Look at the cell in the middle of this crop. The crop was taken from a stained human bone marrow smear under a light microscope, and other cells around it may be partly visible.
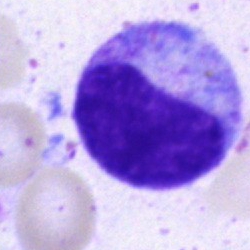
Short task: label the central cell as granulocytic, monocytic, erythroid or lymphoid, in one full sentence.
Regarding lineage, the cell in the center of this crop should be listed as granulocytic.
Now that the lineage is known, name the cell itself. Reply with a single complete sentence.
The crop shows a promyelocyte in its centre.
